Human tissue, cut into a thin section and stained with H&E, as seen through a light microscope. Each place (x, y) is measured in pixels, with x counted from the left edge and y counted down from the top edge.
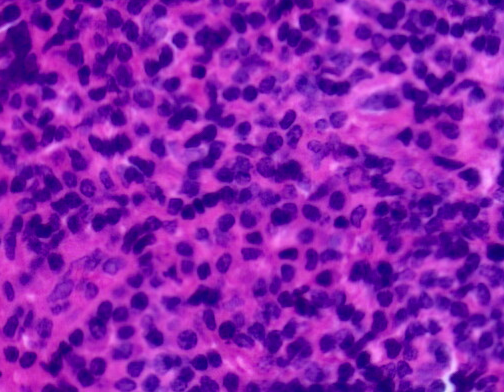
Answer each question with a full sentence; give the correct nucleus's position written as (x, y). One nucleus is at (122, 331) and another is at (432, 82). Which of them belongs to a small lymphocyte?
The nucleus that belongs to a small lymphocyte sits at (432, 82).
